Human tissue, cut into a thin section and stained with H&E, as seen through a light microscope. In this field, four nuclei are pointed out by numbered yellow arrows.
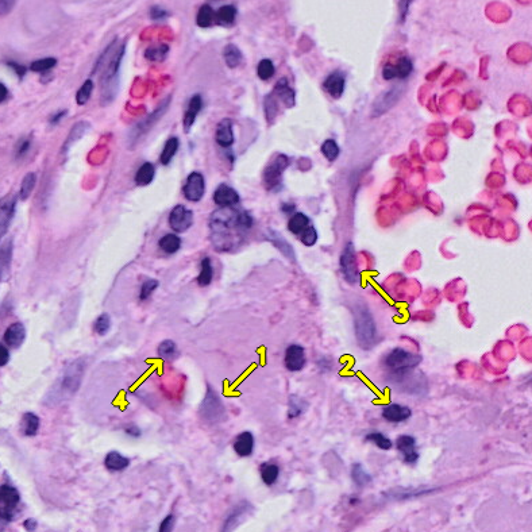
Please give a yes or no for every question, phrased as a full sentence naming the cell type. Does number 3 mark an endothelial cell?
Yes, the cell bearing the number 3 is an endothelial cell.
